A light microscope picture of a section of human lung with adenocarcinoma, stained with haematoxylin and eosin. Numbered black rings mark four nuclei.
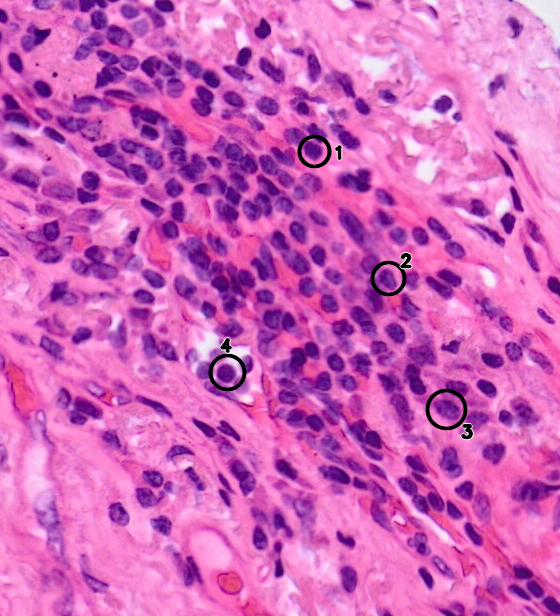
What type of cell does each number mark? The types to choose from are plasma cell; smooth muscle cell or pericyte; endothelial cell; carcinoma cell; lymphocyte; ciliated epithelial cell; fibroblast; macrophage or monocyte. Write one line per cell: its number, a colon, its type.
1: lymphocyte
2: lymphocyte
3: plasma cell
4: lymphocyte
